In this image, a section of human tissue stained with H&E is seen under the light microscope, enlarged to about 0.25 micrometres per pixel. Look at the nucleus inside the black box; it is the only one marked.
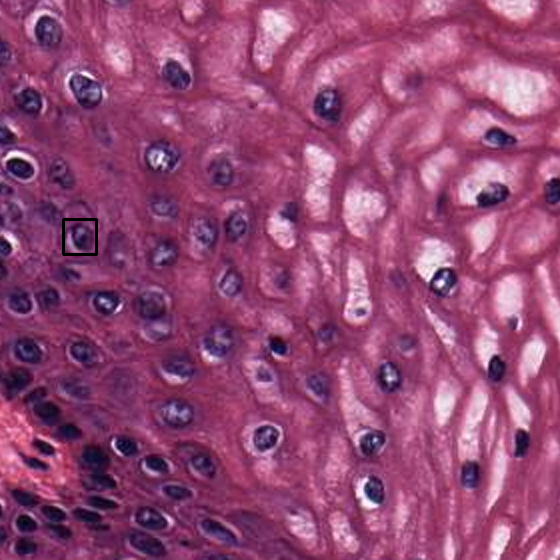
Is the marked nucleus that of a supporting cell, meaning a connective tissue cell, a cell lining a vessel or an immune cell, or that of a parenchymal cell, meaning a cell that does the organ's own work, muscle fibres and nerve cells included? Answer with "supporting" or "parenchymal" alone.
parenchymal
